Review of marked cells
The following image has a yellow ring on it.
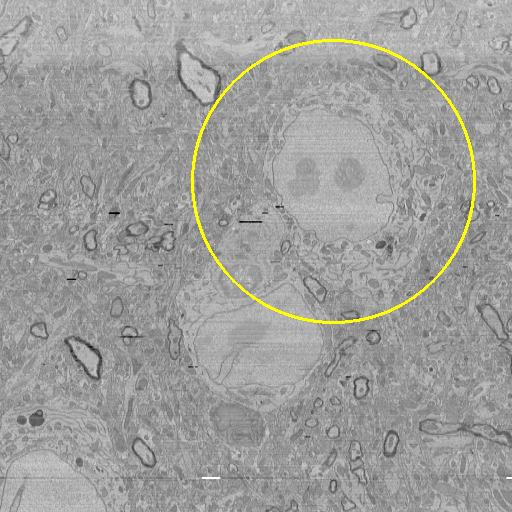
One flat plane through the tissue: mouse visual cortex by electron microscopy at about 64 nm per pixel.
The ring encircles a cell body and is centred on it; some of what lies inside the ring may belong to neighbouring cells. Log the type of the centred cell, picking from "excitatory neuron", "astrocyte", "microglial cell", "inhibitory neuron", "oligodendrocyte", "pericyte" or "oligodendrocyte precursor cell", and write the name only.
inhibitory neuron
